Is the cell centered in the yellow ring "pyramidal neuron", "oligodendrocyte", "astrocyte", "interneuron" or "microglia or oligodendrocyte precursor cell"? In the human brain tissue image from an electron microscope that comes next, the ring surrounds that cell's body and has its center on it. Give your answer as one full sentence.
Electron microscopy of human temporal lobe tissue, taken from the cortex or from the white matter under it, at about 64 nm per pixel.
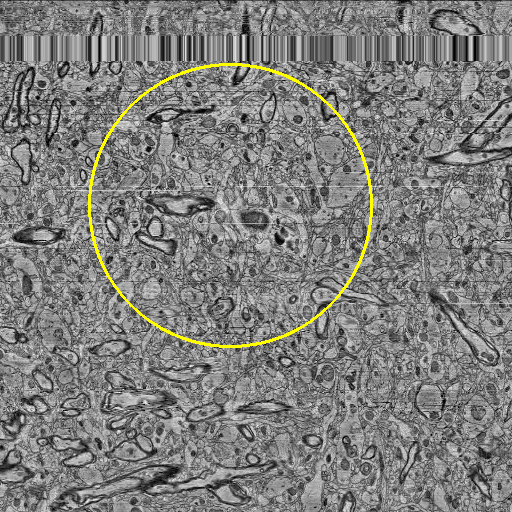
The cell at the center of the yellow ring is a microglial cell or oligodendrocyte precursor cell in the micrograph.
